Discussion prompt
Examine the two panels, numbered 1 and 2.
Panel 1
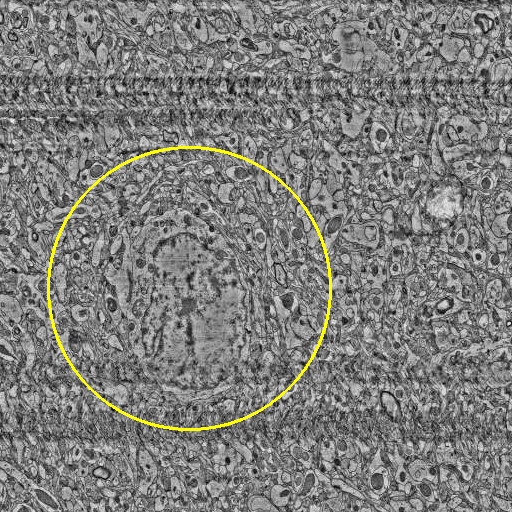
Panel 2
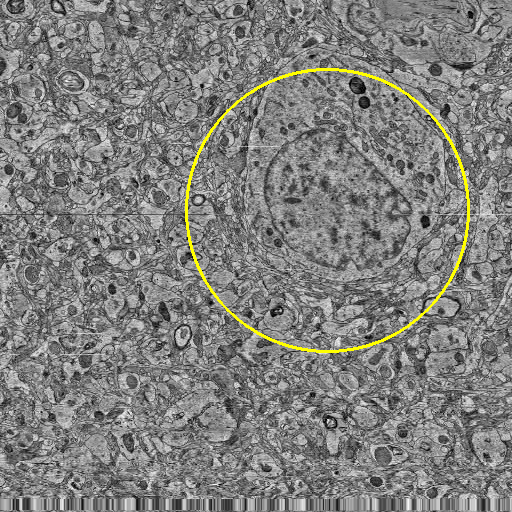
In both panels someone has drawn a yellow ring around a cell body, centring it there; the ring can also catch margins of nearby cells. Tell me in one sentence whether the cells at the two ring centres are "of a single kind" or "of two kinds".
Taken together, the two cells centred in the rings of Panels 1 and 2 are of a single kind.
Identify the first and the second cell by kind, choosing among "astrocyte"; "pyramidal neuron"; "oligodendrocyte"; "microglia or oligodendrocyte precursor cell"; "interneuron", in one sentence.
Both the first and the second picture show an interneuron in the ring.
